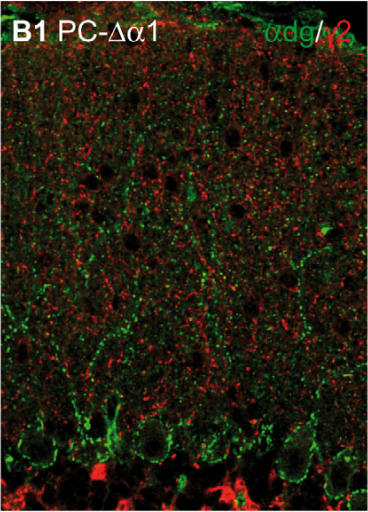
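Cerebellar cortex with Purkinje cell bodies in a row at the bottom, rimmed by green puncta, and green lines running upward along dendrites through the overlying layer. Red puncta are scattered densely through that layer, mostly apart from the green ones, and bright red labelling surrounds cells in the layer beneath the Purkinje cells.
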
